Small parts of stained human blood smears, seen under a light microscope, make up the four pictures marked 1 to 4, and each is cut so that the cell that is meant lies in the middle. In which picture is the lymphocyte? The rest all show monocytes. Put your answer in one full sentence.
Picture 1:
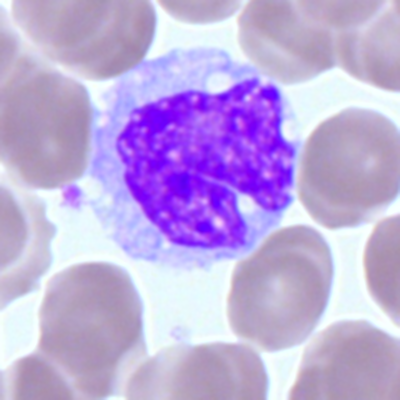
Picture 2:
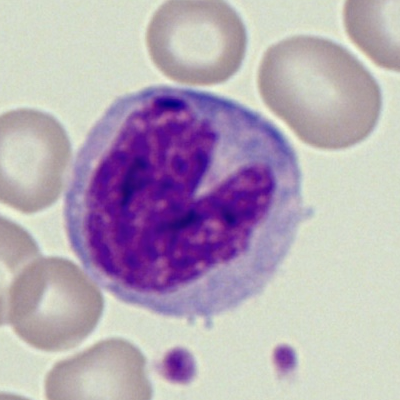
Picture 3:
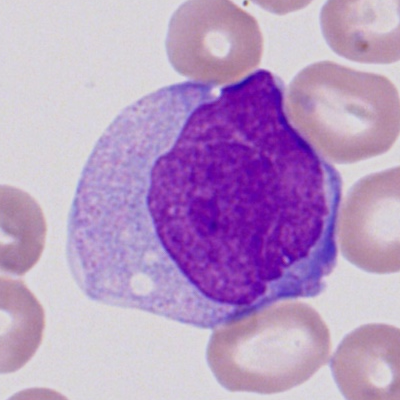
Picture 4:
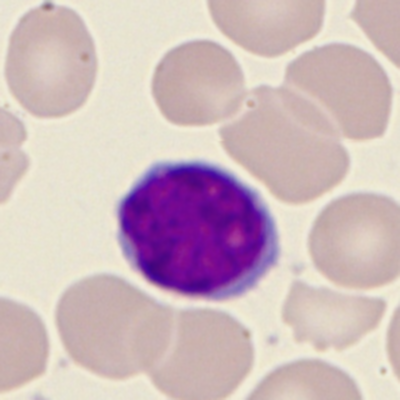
The picture with the lymphocyte is 4.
